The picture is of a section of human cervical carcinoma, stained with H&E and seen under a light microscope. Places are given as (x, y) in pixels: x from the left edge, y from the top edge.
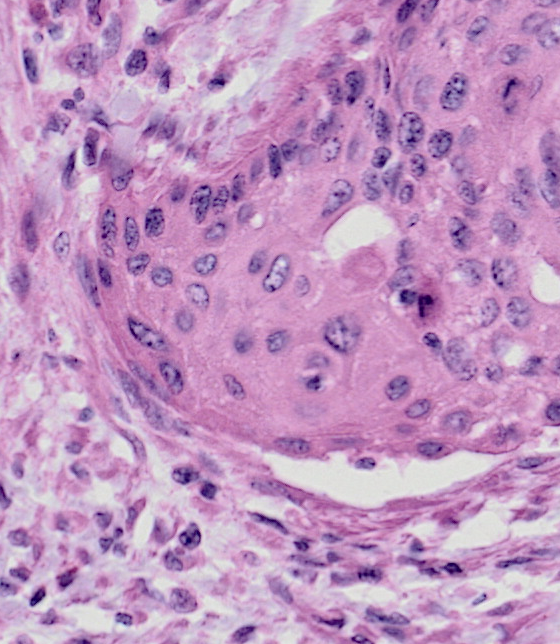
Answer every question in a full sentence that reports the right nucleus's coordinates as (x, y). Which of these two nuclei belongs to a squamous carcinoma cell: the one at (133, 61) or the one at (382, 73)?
Of the two candidate nuclei, the one at (382, 73) is that of a squamous carcinoma cell.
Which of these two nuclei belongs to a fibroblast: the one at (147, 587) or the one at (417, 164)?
Belonging to a fibroblast is the nucleus at (147, 587).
